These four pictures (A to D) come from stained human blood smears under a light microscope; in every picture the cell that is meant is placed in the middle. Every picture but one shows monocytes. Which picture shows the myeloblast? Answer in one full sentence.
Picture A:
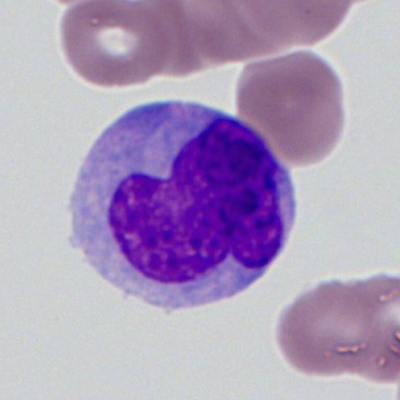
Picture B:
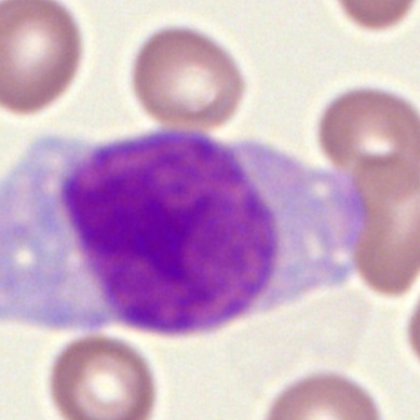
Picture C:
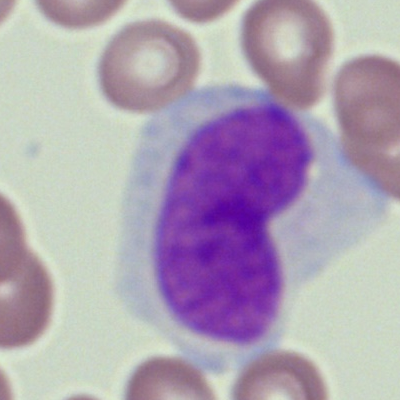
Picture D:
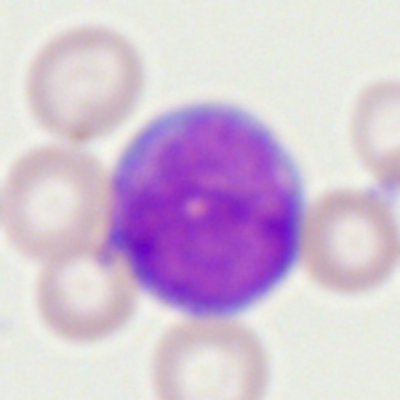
It is picture D that shows the myeloblast.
